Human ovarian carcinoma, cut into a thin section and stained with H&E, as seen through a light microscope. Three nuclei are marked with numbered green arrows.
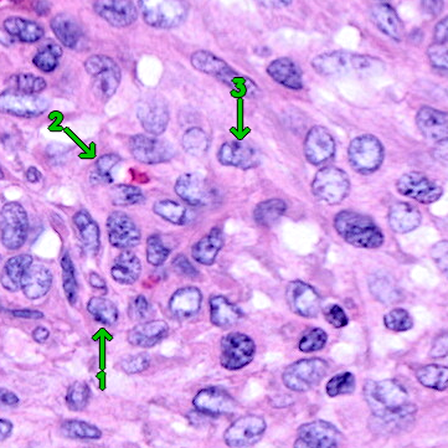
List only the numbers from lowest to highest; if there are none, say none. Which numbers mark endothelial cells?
2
